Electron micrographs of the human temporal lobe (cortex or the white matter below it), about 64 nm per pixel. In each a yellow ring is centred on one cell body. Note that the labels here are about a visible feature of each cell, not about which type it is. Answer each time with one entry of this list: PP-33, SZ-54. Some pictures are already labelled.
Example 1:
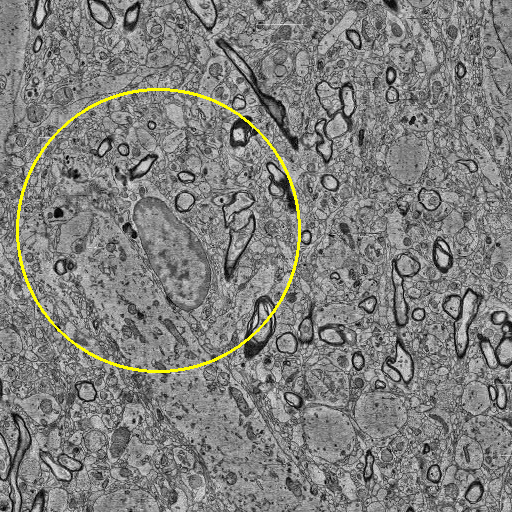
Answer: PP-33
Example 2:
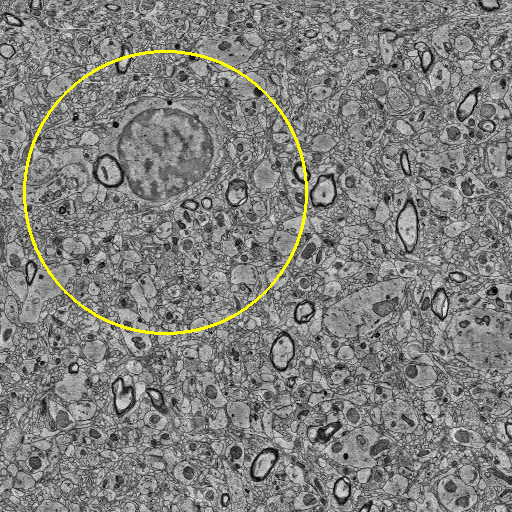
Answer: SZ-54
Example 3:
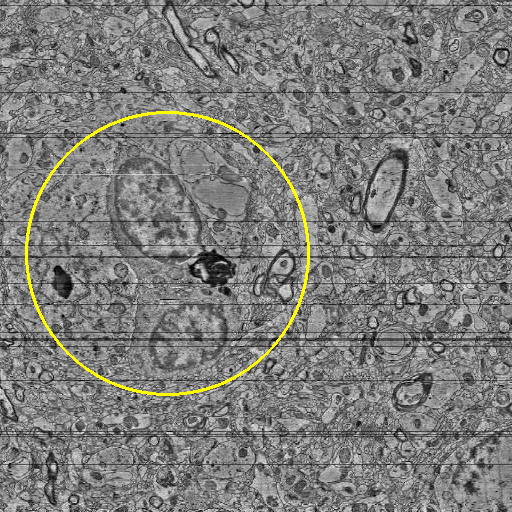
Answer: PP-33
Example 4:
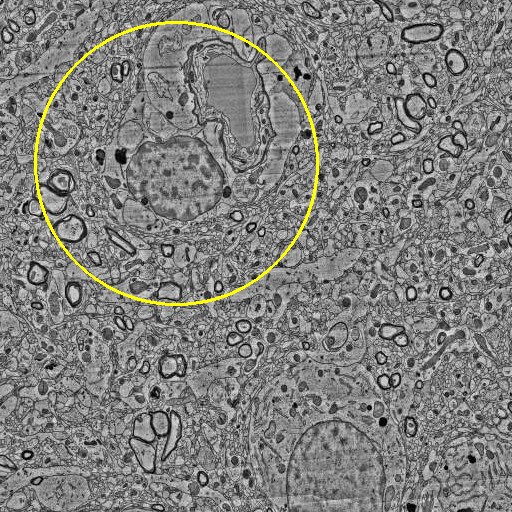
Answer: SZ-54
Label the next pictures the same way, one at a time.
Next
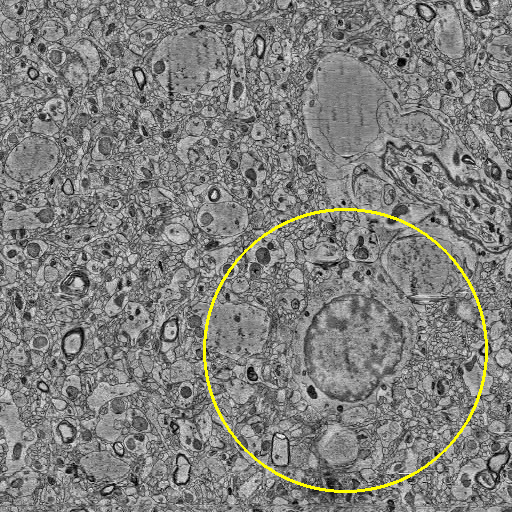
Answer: SZ-54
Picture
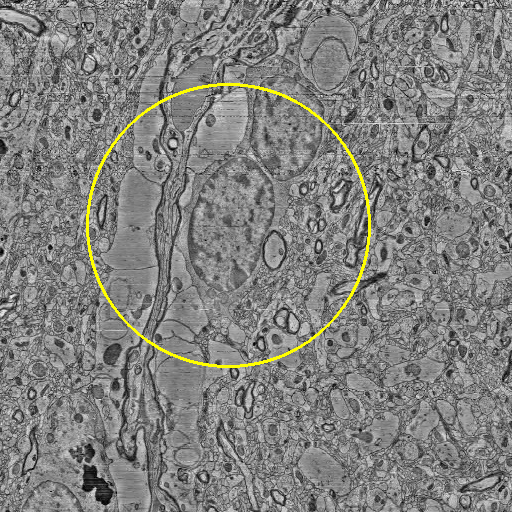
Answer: PP-33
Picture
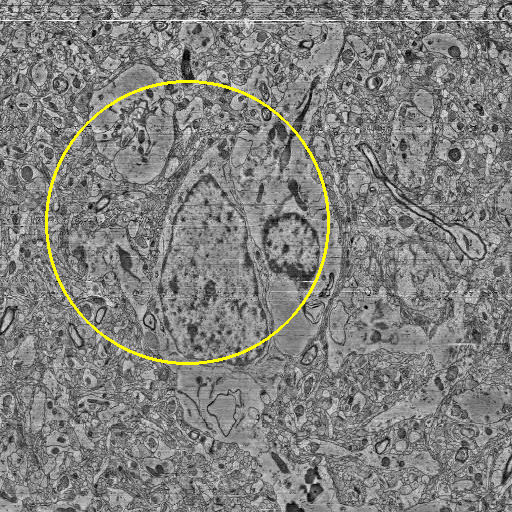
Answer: PP-33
